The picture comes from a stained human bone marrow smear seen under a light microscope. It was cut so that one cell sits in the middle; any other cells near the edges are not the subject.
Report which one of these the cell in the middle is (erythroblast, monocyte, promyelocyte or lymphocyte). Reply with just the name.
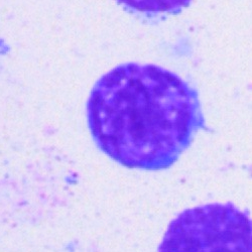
lymphocyte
